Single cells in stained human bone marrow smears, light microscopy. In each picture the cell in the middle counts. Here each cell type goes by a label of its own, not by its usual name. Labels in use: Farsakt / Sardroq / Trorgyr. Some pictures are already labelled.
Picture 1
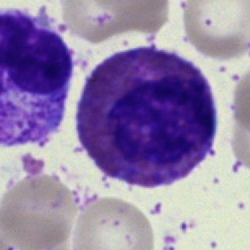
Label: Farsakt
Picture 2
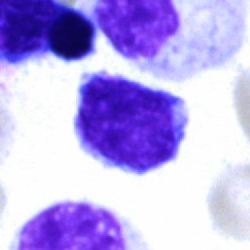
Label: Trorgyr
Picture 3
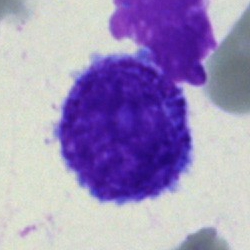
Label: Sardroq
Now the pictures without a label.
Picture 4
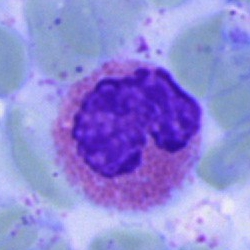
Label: Farsakt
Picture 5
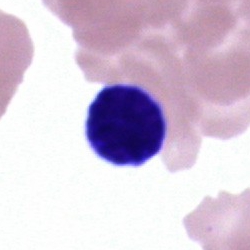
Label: Trorgyr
